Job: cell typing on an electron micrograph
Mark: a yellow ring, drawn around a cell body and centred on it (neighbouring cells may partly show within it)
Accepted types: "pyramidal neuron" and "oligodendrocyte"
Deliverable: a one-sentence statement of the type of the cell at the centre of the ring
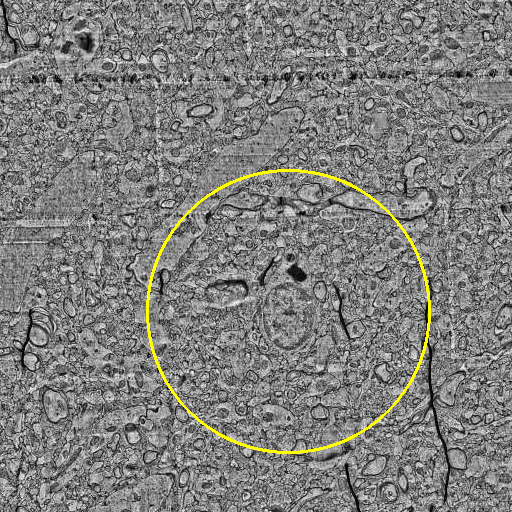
The centred cell body is that of an oligodendrocyte.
